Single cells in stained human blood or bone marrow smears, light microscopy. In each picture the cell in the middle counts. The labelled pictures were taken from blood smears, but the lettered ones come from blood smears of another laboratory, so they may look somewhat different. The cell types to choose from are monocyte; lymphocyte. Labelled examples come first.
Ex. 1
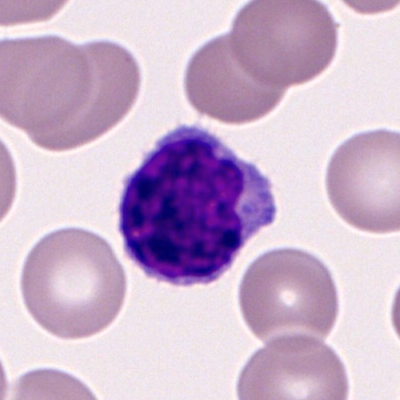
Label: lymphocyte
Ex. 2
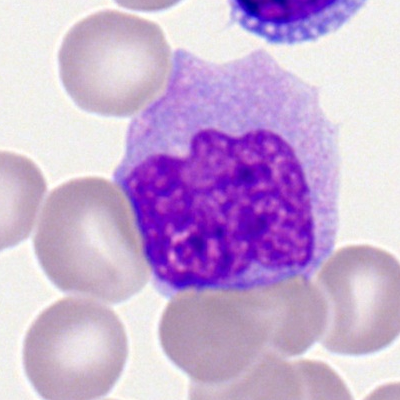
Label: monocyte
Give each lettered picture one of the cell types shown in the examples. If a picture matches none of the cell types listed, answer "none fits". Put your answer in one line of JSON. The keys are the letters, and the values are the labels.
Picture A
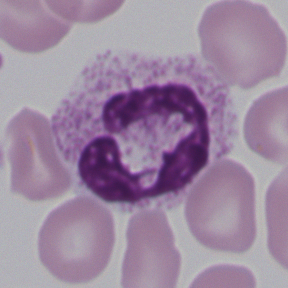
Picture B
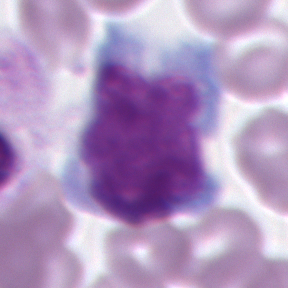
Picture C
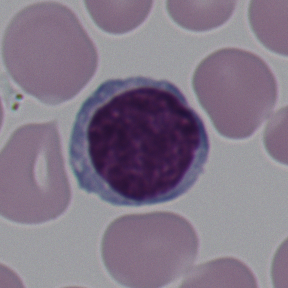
{"A": "none fits", "B": "monocyte", "C": "lymphocyte"}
